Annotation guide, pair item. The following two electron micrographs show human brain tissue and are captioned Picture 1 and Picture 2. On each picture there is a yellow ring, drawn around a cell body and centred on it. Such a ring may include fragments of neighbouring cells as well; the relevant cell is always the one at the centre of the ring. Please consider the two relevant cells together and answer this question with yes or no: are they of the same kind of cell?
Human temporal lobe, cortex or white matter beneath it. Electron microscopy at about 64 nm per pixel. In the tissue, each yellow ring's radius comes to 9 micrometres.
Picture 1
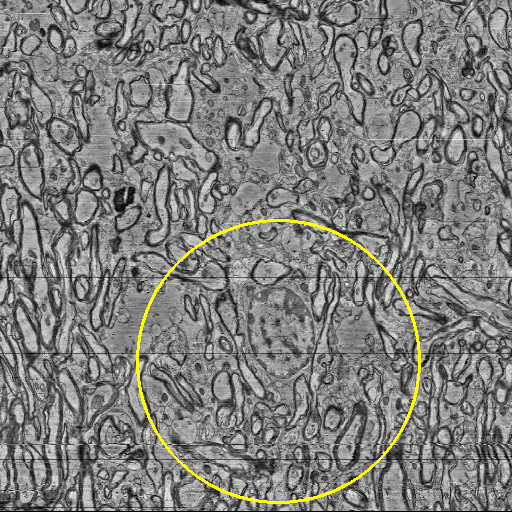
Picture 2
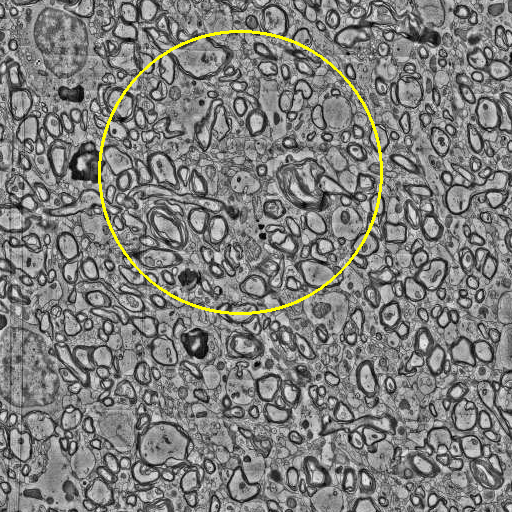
yes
